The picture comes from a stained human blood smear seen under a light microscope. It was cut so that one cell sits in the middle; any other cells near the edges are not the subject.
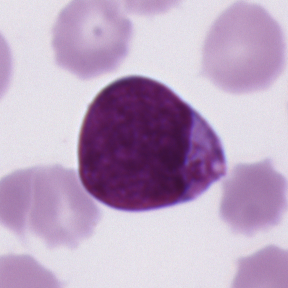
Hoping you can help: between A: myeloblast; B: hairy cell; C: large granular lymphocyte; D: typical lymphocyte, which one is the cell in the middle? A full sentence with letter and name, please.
The correct option, A, names the middle cell as a myeloblast.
